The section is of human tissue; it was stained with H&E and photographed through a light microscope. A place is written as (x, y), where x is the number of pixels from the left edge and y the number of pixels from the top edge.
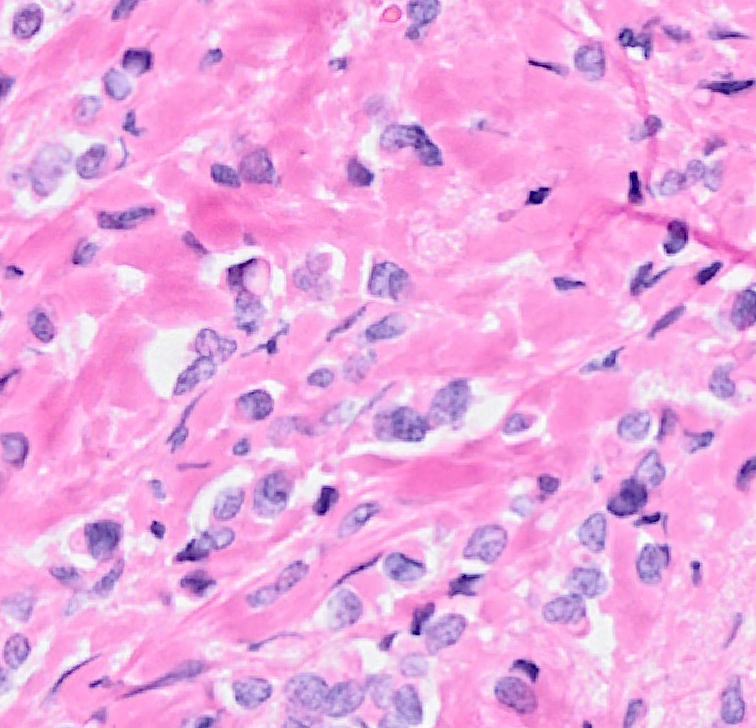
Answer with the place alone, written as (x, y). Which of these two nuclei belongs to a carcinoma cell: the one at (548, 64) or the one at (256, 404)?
(256, 404)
